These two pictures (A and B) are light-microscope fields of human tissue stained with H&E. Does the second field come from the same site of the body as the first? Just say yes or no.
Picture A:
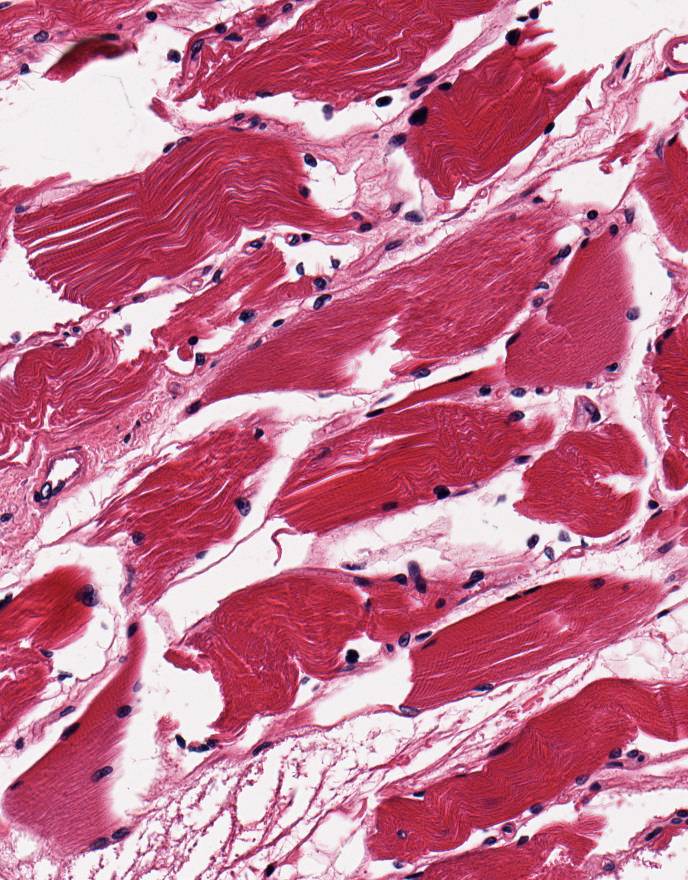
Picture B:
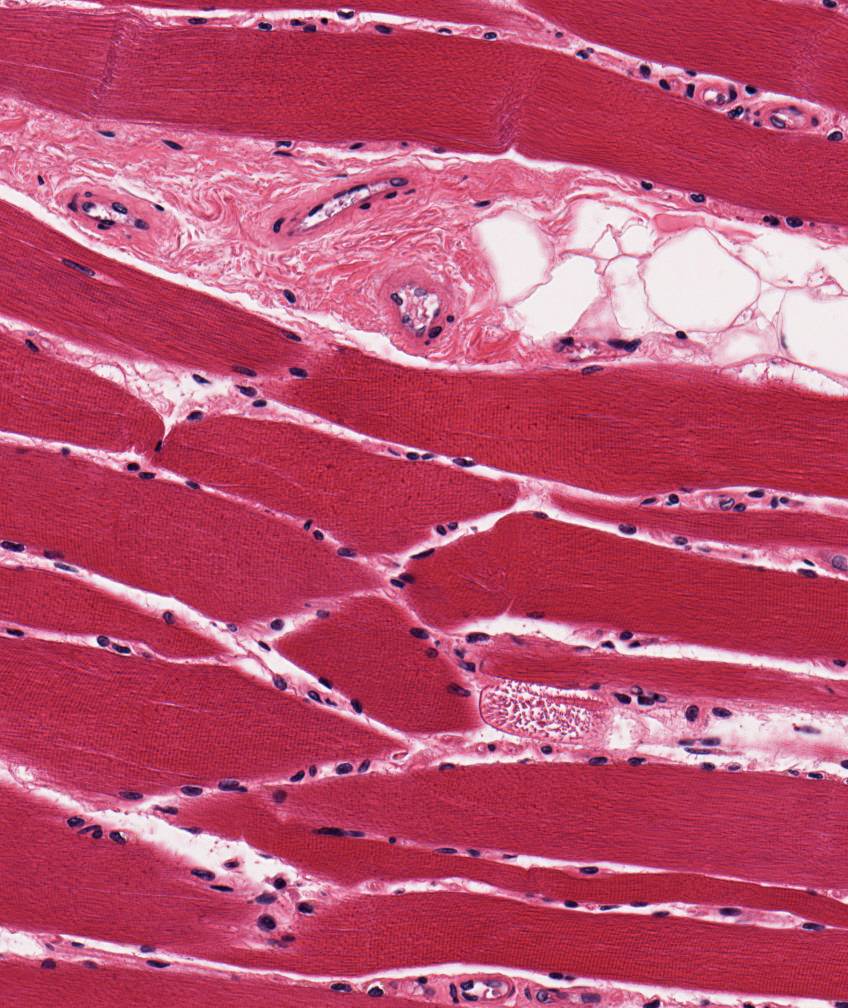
yes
